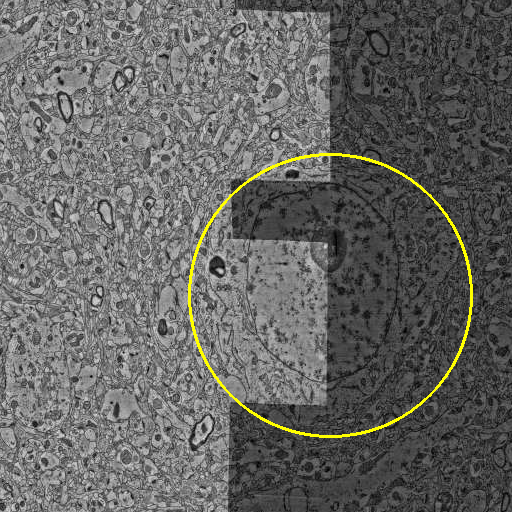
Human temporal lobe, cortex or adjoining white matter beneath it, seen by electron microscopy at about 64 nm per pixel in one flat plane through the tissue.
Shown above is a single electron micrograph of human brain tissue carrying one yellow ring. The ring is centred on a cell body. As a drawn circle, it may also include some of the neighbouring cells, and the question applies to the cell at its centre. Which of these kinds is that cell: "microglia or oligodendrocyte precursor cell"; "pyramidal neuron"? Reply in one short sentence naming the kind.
The cell marked by the ring is a pyramidal neuron.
